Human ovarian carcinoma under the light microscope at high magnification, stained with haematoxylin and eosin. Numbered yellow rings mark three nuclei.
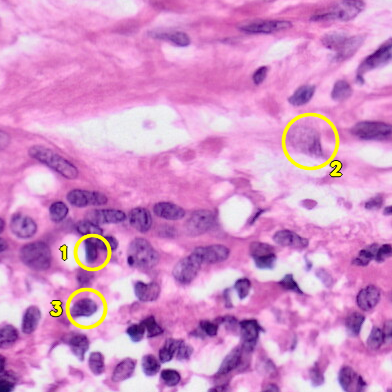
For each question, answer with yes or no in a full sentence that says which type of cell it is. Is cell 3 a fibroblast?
No, number 3 is not a fibroblast; it is a carcinoma cell.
